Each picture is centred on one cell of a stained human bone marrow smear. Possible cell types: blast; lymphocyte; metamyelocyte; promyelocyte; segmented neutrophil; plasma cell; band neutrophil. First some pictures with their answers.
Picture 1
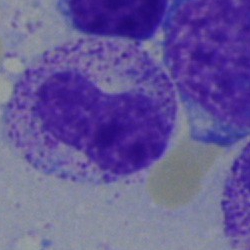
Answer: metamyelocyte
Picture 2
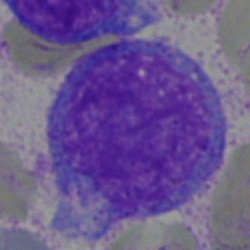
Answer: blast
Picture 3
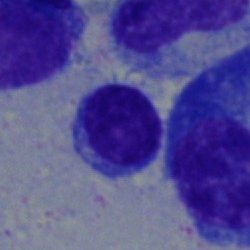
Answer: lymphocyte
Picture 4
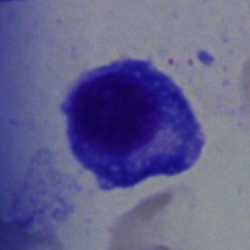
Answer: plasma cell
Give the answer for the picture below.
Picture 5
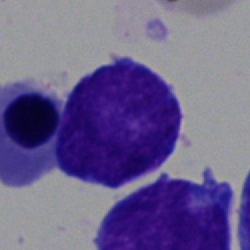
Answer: blast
